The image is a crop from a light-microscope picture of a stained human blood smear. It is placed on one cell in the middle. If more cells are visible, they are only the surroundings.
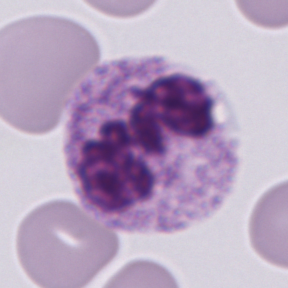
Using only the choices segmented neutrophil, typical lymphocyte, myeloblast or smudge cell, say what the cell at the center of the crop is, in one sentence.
The cell in the middle of this crop is a segmented neutrophil.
